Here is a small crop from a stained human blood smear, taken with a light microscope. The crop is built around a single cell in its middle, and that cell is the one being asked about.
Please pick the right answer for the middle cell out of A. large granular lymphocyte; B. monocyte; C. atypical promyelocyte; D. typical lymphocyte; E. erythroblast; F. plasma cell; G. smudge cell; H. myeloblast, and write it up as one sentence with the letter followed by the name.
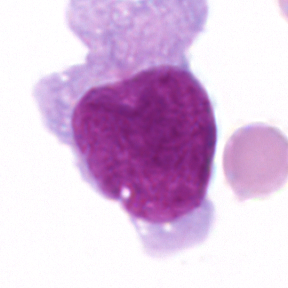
It is an atypical promyelocyte that occupies the centre of the crop, so option C is correct.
